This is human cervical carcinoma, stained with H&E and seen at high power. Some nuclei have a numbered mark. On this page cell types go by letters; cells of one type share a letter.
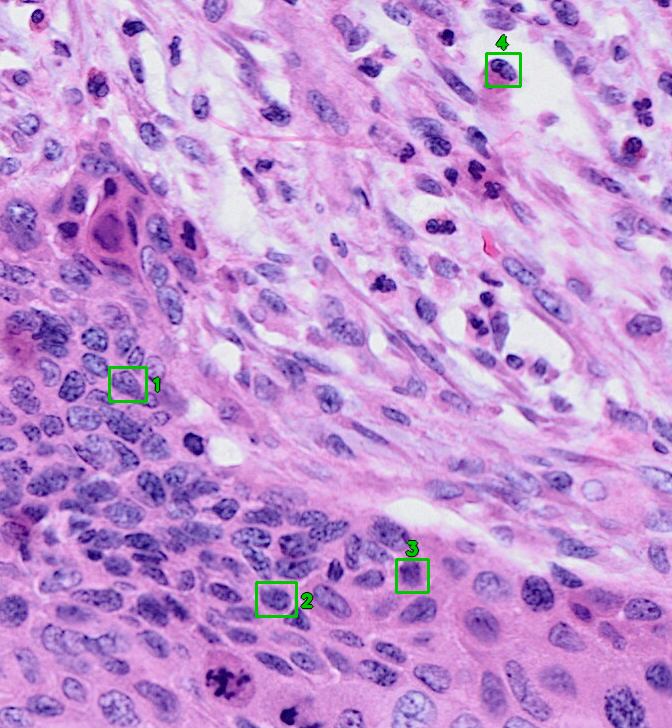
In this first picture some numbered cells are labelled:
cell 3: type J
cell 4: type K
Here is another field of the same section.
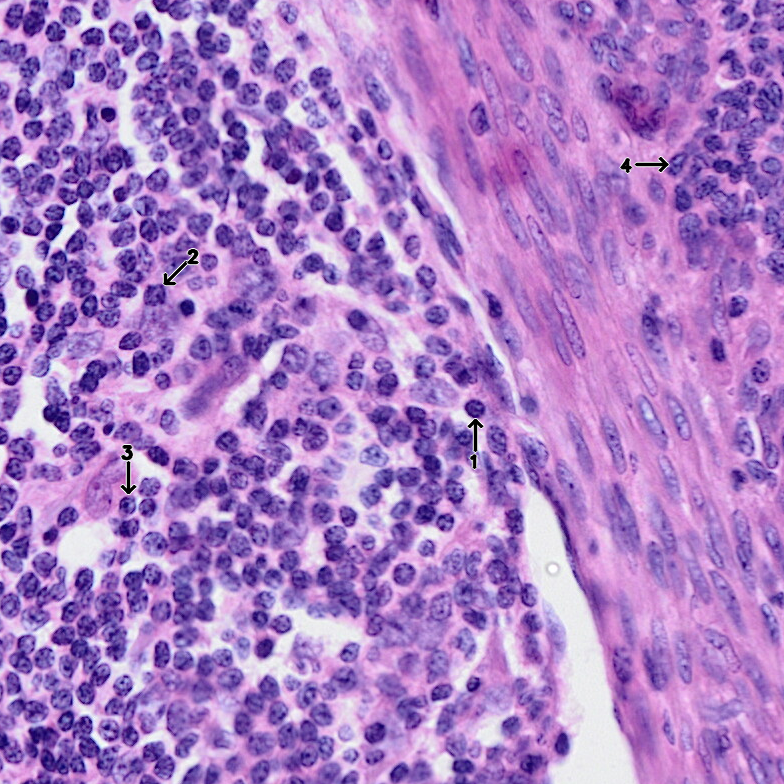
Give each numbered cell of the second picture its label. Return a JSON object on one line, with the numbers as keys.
{"1": "type K", "2": "type K", "3": "type K", "4": "type J"}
